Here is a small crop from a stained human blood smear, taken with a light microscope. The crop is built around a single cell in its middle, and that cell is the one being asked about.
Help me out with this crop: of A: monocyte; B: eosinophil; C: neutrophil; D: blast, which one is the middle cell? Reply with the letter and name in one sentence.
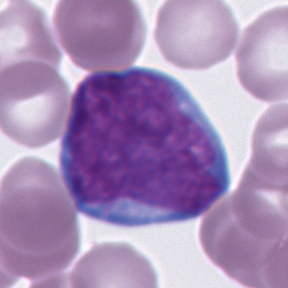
Answer key: option D, the middle cell being a blast.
